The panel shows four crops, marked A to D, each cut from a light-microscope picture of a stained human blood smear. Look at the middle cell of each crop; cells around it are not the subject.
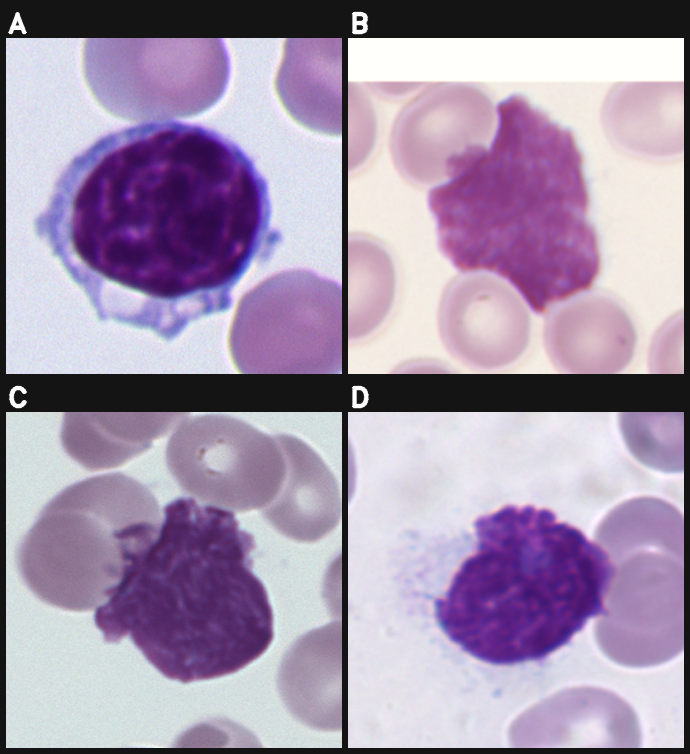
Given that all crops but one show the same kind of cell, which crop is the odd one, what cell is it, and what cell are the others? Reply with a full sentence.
Crop A differs: it is a typical lymphocyte, and all the other crops show smudge cells.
